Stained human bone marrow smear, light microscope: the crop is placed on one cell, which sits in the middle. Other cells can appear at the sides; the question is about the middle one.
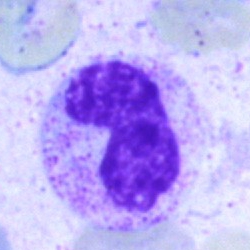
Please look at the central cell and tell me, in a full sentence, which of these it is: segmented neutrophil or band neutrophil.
The cell found in the middle of this crop is a band neutrophil.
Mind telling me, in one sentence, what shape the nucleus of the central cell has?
A single compact nucleus, round, oval or kidney-shaped, is what this cell shows.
